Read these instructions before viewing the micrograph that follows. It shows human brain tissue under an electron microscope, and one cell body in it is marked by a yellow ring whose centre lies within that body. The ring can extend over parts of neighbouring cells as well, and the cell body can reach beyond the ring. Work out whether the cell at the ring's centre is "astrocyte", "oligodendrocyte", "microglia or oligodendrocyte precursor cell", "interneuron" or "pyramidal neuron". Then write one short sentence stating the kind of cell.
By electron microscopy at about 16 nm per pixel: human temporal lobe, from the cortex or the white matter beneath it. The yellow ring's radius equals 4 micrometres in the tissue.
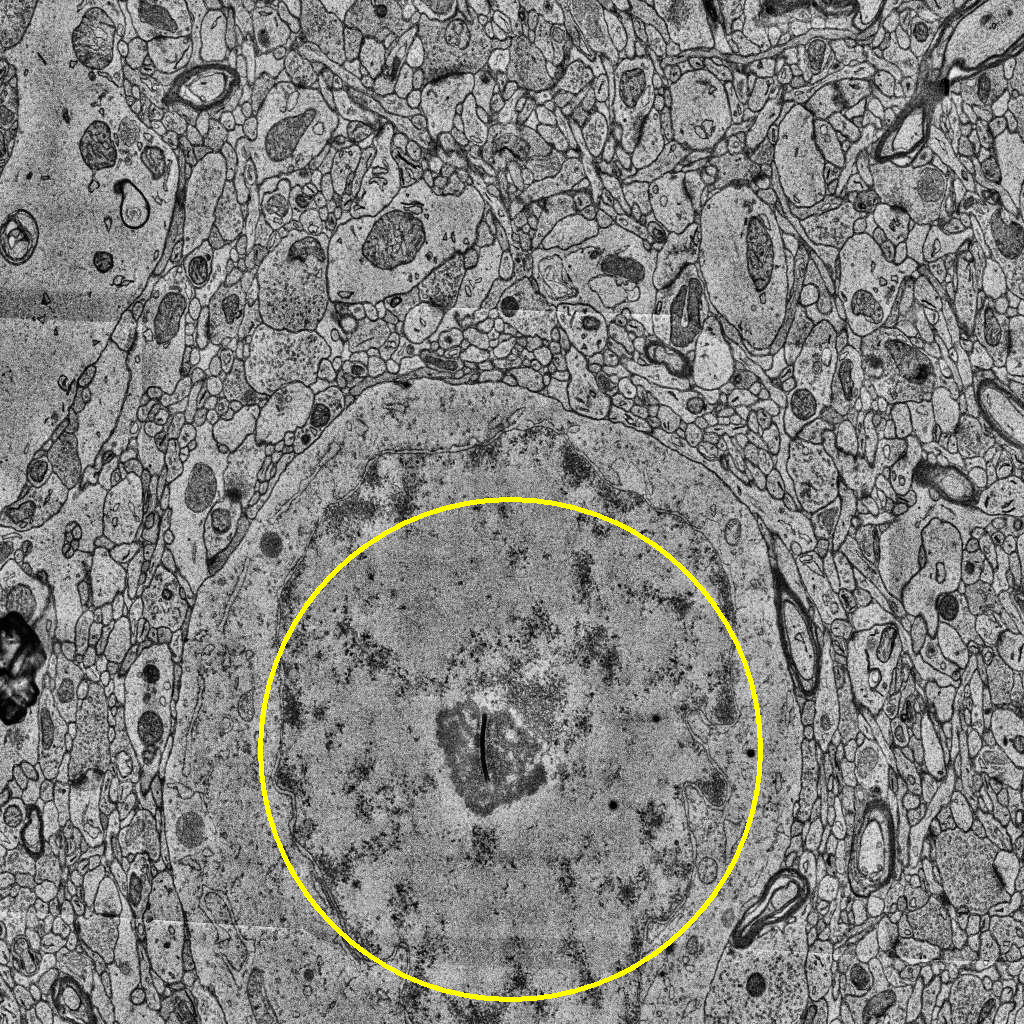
The cell at the ring's centre is an interneuron.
